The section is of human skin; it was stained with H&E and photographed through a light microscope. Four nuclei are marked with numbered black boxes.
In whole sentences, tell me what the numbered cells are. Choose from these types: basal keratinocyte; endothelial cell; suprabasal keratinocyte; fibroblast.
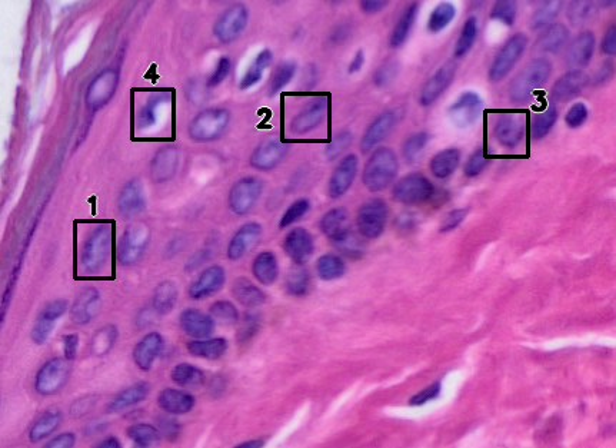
Cells 1, 2 and 4 are suprabasal keratinocytes. Cell 3 is a basal keratinocyte.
